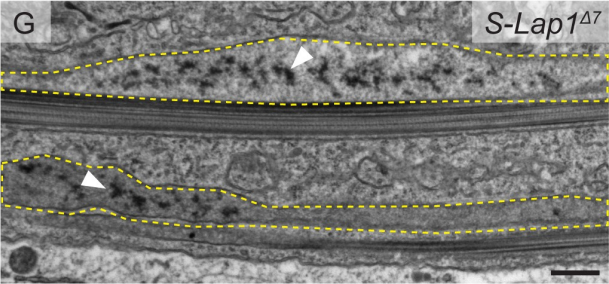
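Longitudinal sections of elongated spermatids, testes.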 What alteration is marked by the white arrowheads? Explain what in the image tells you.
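Scattered. Inside the outlined long bodies the dark material forms many small separate clumps. The clumps lie spread along the length of a pale matrix.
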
